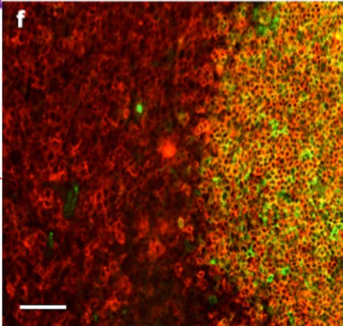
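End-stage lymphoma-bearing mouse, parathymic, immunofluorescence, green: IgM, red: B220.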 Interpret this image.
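This fluorescence image of lymph node tissue is split into two regions by a roughly vertical border. On the left, the cells are outlined in red only. On the right, densely packed small cells show both green and red, so they appear yellow-green.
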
